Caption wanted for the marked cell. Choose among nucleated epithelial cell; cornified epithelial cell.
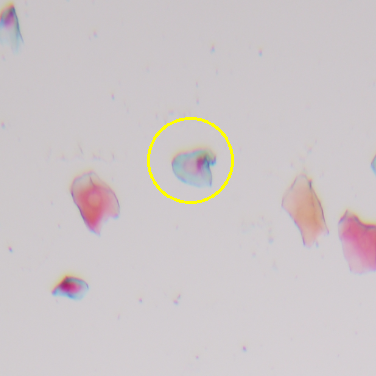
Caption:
Ringed in yellow is a nucleated epithelial cell.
